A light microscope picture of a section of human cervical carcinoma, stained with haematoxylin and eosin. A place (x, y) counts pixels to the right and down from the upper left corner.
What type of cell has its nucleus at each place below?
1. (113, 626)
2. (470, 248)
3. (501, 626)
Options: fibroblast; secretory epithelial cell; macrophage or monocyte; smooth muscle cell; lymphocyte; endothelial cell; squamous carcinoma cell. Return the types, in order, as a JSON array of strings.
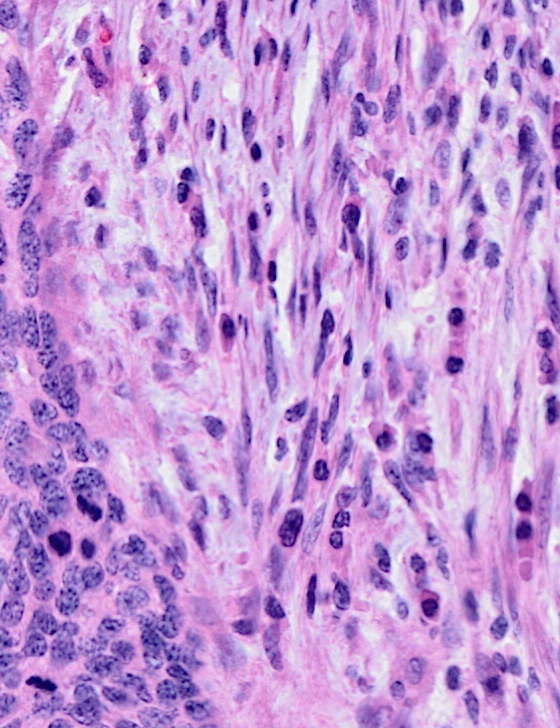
["squamous carcinoma cell", "lymphocyte", "lymphocyte"]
